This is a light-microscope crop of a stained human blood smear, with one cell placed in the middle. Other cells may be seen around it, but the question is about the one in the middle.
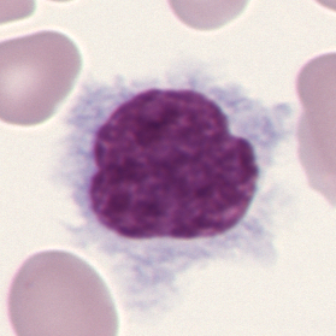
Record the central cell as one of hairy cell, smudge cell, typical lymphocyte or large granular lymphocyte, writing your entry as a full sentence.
The central cell in this smear crop is a hairy cell.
